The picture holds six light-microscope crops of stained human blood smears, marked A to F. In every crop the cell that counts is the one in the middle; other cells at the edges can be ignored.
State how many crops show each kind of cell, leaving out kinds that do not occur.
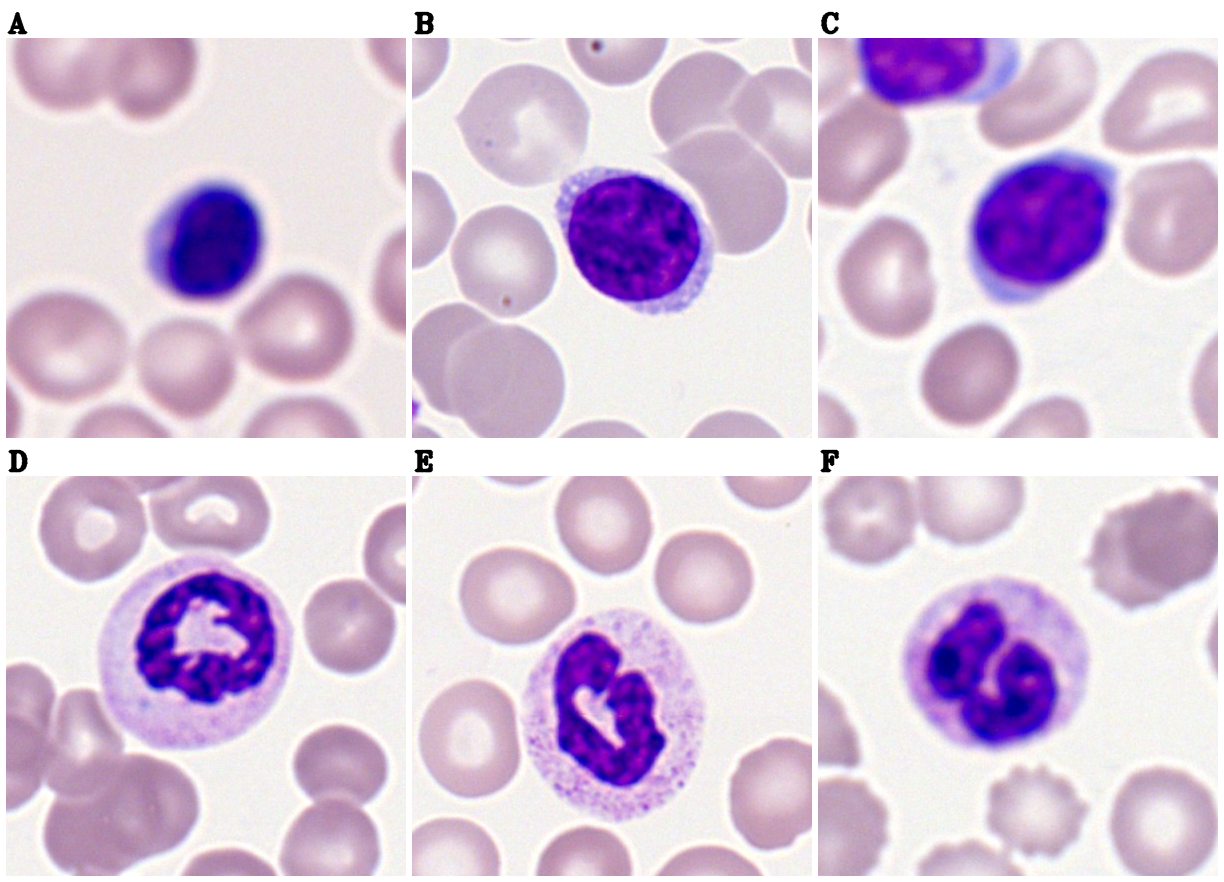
lymphocyte: 3
segmented neutrophil: 3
